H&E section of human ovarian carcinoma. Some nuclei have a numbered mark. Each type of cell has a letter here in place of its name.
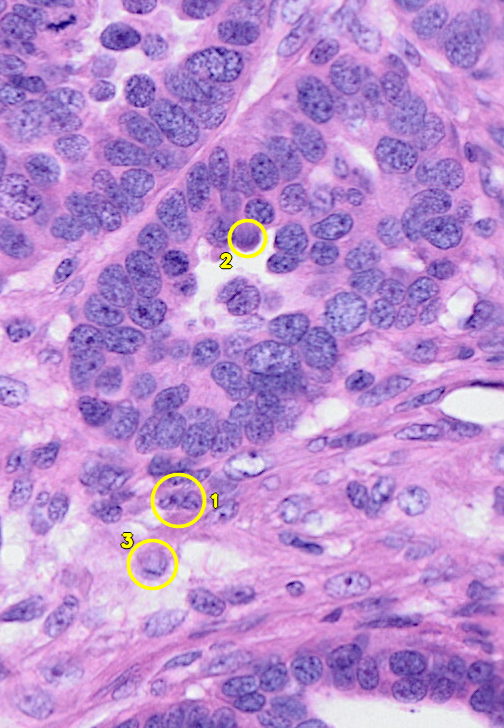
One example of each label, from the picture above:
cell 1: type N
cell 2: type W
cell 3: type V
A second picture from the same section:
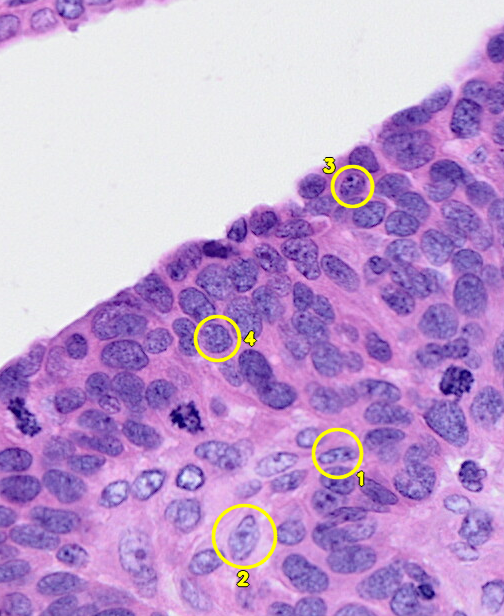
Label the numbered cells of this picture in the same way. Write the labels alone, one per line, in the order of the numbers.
type V
type V
type N
type W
